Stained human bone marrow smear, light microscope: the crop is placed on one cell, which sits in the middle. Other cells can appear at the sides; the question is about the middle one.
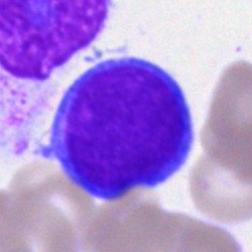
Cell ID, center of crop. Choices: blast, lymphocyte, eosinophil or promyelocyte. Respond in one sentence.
To answer, the cell in the center of the crop is a blast.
